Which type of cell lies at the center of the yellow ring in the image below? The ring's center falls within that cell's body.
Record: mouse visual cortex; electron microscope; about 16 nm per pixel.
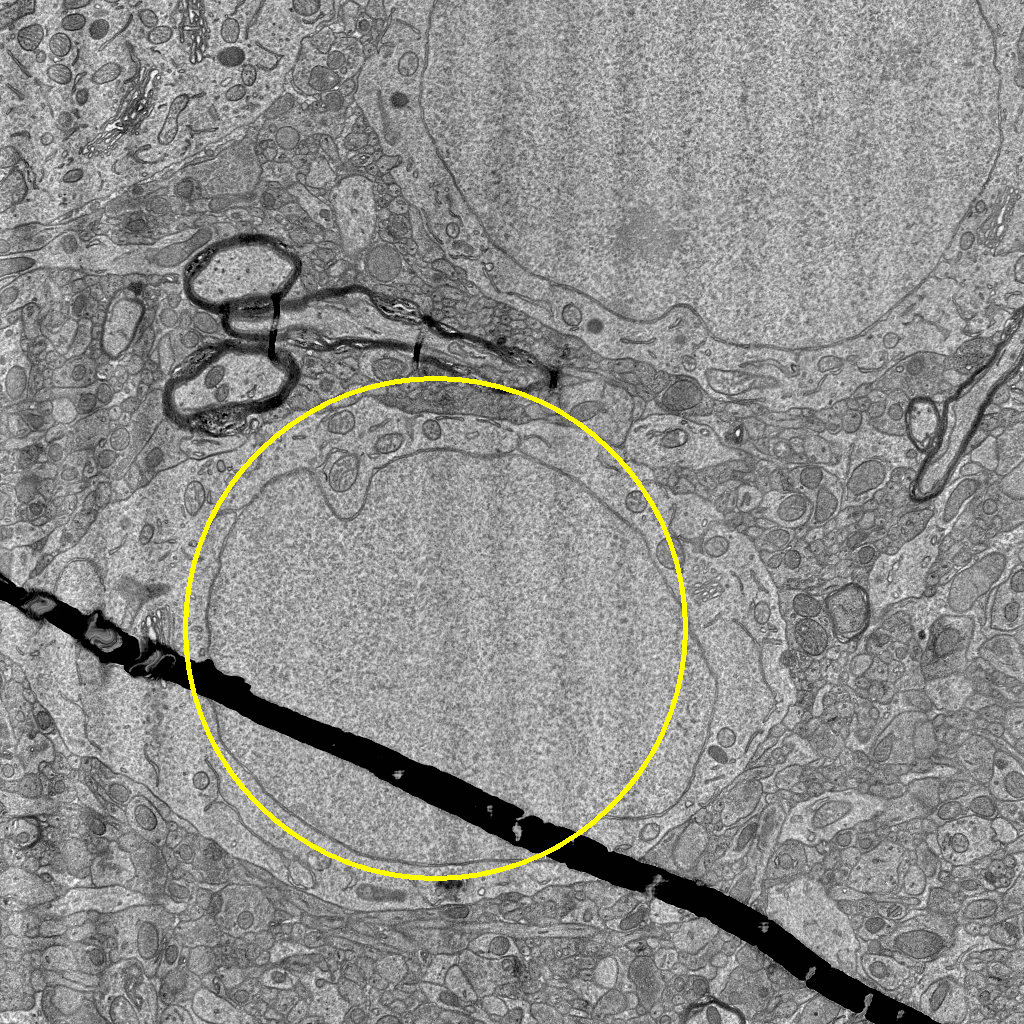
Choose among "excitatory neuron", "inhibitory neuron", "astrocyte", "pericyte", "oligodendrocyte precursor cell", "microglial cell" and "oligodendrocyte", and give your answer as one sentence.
The cell body at the center belongs to an excitatory neuron.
